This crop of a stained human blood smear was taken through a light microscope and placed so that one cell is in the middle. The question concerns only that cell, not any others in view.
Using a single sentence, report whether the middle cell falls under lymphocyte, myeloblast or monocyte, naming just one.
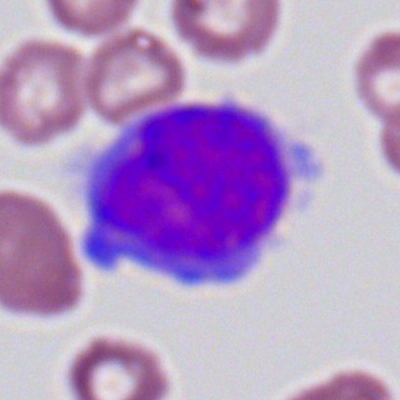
The centrally positioned cell in the crop represents a monocyte.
